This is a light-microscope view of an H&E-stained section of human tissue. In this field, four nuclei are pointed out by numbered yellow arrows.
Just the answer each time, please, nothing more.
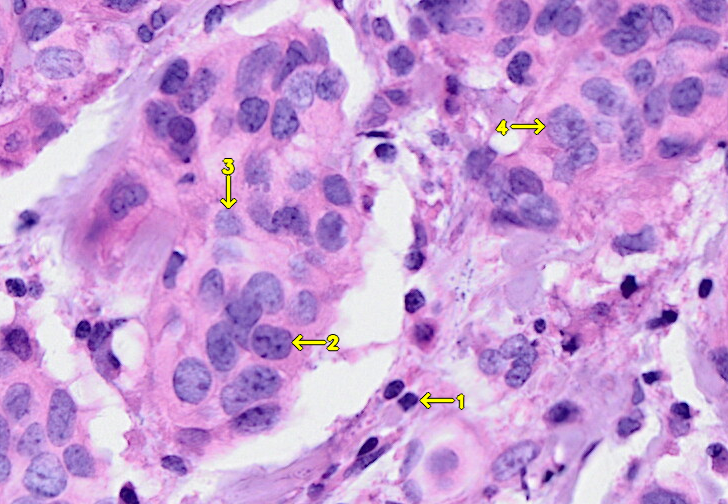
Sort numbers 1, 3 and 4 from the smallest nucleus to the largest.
1, 3, 4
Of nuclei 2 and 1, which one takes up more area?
2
